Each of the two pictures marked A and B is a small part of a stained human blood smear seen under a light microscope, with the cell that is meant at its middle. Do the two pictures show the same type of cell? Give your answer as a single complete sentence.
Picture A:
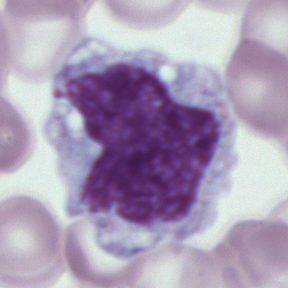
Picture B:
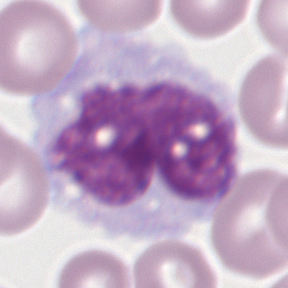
Yes, both cells are monocytes.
